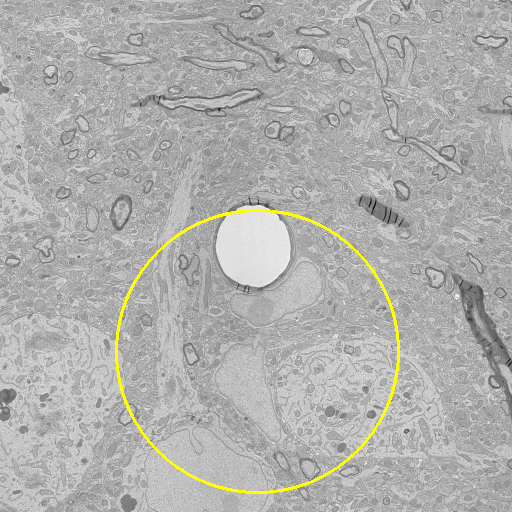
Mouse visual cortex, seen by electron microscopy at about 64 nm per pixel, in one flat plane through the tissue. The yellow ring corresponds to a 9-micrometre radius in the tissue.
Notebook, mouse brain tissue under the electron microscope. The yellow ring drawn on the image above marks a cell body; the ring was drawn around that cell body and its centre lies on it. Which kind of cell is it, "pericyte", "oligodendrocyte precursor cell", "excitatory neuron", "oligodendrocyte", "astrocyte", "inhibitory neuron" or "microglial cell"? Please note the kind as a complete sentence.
The marked cell body is that of an oligodendrocyte precursor cell.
